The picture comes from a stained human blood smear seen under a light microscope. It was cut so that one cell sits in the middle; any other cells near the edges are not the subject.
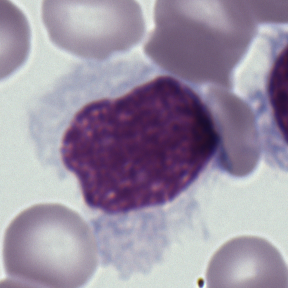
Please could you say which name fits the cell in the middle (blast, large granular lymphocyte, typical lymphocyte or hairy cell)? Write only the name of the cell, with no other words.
hairy cell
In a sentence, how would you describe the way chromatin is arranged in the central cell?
The nuclear chromatin is fine, showing no coarse aggregates.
